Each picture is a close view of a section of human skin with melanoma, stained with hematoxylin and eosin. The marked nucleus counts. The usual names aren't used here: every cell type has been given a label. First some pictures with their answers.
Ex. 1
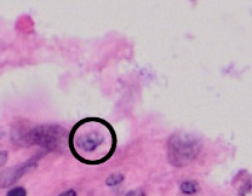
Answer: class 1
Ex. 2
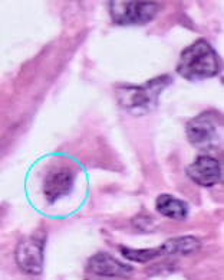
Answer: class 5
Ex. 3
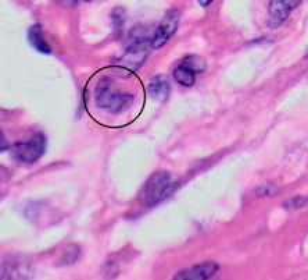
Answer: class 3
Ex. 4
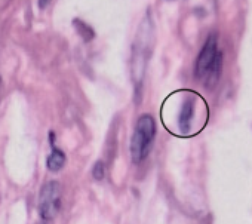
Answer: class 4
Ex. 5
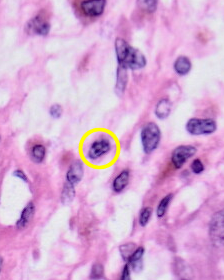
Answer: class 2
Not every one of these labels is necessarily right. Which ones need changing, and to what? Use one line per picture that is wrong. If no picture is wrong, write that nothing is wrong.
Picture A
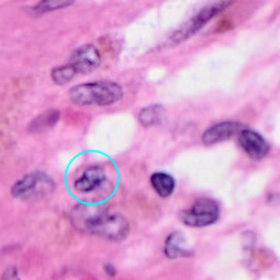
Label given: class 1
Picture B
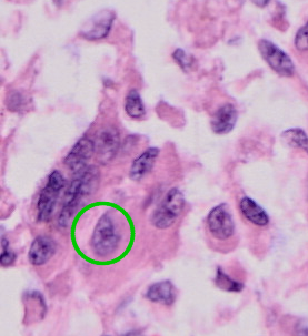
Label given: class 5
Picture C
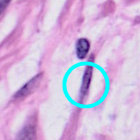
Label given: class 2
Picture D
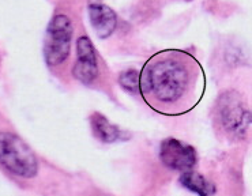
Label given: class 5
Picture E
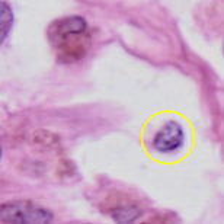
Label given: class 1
C: class 4, not class 2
